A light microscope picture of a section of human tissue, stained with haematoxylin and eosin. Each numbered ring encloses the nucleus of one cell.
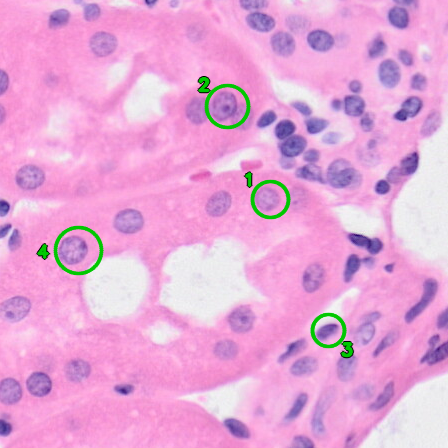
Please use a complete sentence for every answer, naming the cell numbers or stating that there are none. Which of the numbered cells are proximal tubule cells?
The cells identified by the numbers 1, 2 and 4 are proximal tubule cells.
